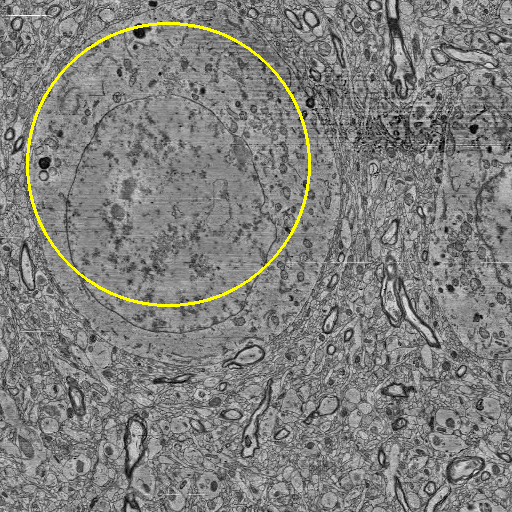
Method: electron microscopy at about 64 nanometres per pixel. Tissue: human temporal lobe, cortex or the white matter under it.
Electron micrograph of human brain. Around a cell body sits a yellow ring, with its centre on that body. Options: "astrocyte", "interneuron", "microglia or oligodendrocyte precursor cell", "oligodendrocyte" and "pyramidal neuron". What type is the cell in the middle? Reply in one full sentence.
The cell sitting at the centre of the yellow ring is a pyramidal neuron.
